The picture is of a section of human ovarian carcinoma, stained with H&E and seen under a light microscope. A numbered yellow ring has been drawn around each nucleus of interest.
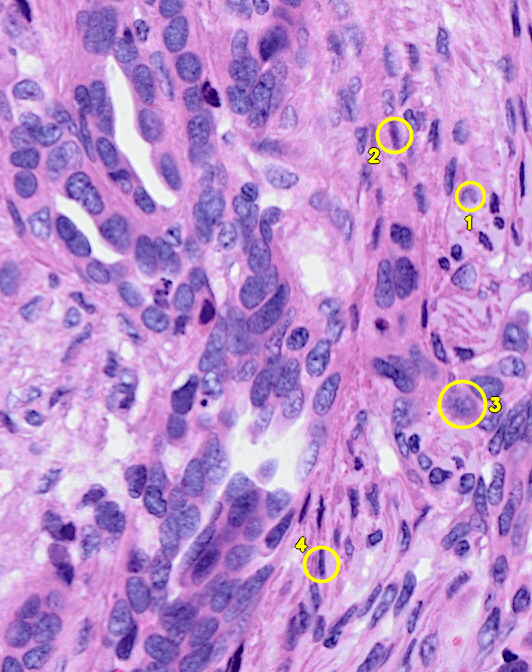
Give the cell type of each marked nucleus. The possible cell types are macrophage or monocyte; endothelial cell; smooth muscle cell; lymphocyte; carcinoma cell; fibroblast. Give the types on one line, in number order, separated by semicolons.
fibroblast; fibroblast; carcinoma cell; fibroblast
